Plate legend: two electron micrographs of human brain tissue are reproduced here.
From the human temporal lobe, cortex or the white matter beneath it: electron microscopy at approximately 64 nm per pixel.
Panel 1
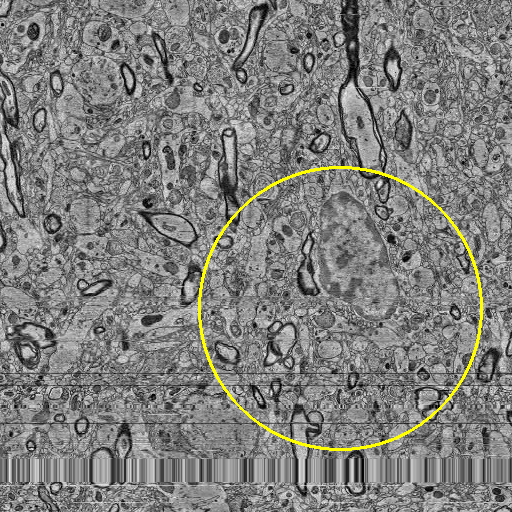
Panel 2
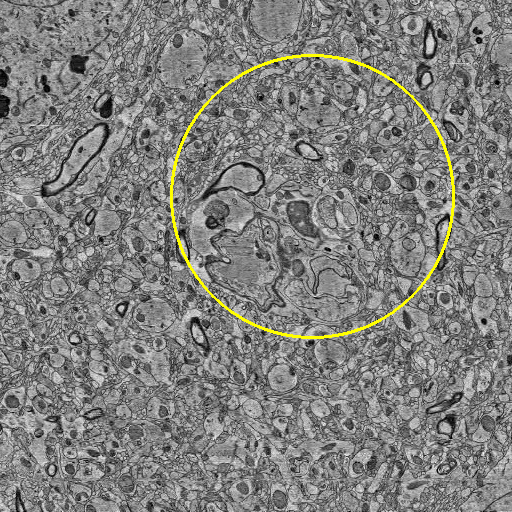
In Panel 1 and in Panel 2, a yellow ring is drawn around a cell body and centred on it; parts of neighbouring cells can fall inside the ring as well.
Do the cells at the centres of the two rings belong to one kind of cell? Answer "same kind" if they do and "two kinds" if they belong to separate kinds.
same kind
